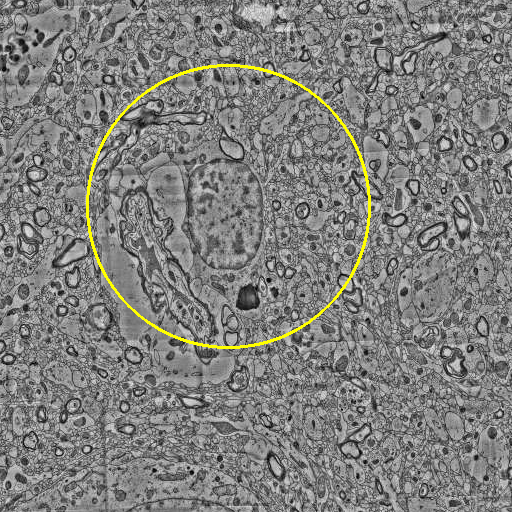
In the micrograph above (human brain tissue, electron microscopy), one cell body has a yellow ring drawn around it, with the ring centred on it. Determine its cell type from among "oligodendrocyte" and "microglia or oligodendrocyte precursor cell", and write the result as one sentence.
The cell whose body is ringed is an oligodendrocyte.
